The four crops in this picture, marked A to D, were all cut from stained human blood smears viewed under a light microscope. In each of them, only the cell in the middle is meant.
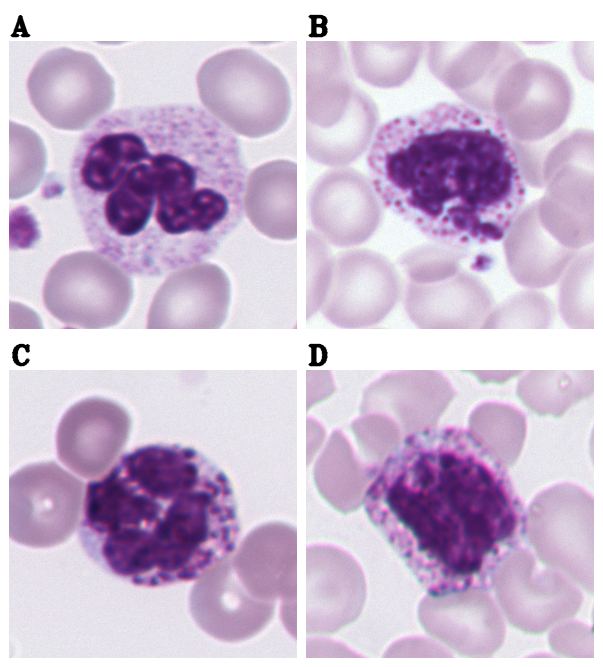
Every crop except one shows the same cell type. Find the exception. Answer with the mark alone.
A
